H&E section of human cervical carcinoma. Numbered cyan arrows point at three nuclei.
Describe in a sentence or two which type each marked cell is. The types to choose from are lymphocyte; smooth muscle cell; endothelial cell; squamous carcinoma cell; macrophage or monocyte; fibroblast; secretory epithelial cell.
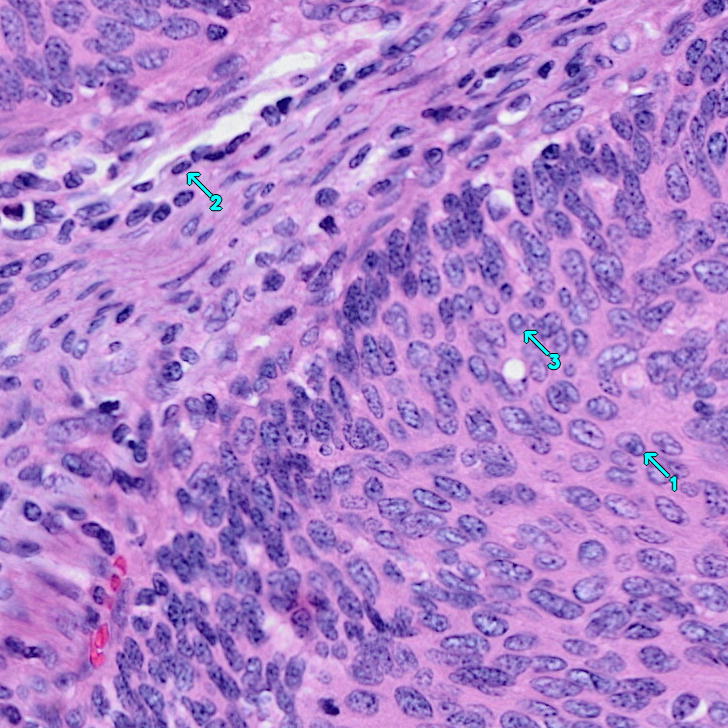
Cells 1 and 3 are squamous carcinoma cells. Cell 2 is a lymphocyte.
